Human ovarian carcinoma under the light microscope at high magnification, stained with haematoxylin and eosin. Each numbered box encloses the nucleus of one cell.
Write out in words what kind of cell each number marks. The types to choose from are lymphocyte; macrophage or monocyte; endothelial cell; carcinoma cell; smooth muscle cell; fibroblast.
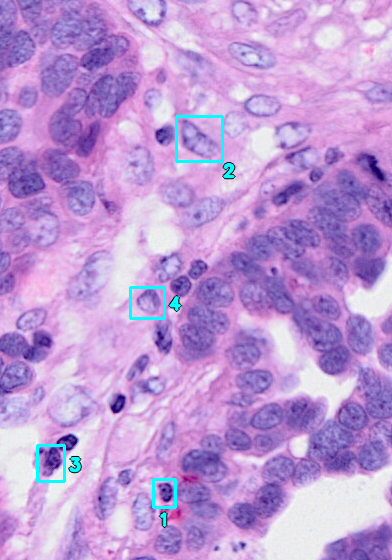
Cell 1 is a lymphocyte, cell 2 is a fibroblast, cell 3 is a macrophage or monocyte and cell 4 is a macrophage or monocyte.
